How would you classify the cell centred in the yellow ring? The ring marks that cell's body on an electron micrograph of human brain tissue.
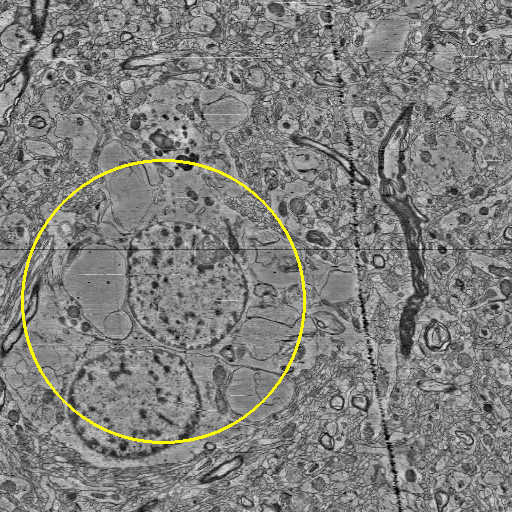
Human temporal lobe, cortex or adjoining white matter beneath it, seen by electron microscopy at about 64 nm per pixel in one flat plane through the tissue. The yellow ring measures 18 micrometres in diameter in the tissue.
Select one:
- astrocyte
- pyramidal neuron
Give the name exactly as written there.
astrocyte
